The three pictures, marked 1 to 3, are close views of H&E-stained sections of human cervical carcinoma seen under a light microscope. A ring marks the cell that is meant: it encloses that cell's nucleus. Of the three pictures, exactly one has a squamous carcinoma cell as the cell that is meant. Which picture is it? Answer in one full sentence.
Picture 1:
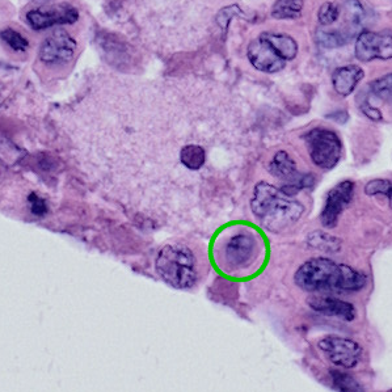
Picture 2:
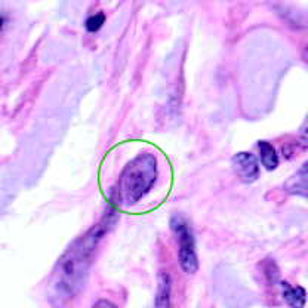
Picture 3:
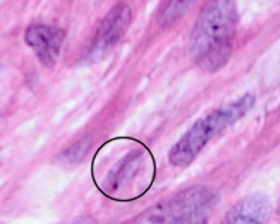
The cell in picture 1 is the squamous carcinoma cell.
